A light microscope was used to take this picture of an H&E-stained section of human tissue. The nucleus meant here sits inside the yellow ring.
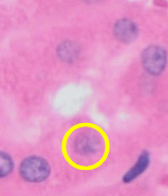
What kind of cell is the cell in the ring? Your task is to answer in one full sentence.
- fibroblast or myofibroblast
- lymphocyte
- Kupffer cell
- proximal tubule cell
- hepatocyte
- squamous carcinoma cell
Considered by cell type, the cell in the ring is a proximal tubule cell.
